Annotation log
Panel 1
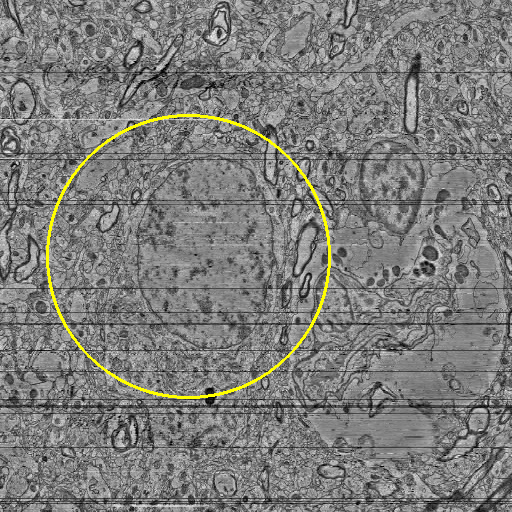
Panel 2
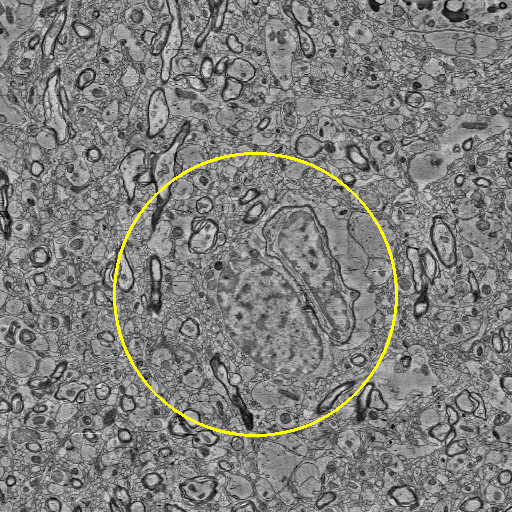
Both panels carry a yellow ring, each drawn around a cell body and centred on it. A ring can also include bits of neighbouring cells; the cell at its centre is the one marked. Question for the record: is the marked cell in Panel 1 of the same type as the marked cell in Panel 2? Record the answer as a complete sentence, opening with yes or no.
No, the marked cells in Panel 1 and Panel 2 are of two types.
